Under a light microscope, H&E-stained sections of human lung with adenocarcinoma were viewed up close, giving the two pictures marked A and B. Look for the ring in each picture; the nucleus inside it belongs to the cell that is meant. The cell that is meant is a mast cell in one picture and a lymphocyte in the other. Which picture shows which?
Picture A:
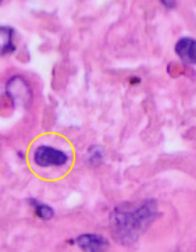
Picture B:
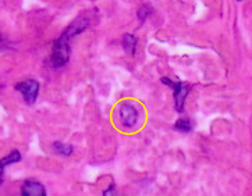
A: lymphocyte
B: mast cell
